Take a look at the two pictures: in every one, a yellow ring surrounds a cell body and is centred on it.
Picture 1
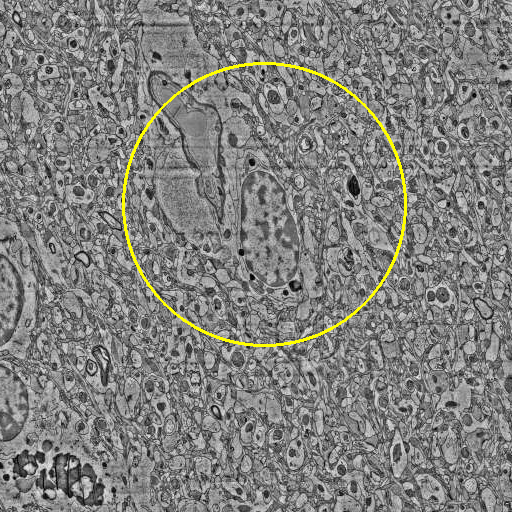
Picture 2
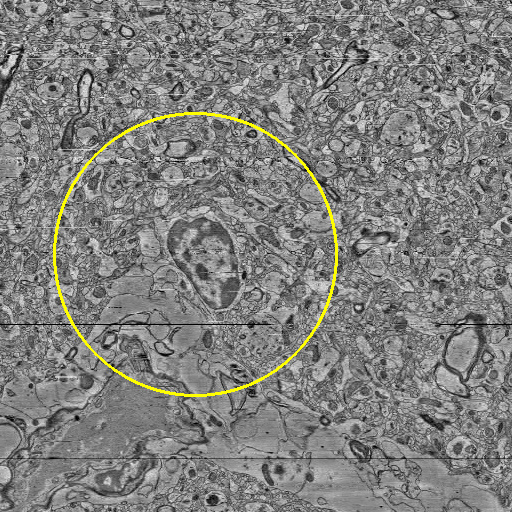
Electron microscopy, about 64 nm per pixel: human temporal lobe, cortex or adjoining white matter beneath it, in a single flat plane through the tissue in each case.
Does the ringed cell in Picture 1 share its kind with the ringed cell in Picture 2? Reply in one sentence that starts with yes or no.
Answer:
Yes, the two centred cells, one per picture, are of one kind.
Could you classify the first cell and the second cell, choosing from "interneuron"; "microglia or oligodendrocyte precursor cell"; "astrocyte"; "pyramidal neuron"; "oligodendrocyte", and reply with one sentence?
In each picture the ringed cell is a microglial cell or oligodendrocyte precursor cell.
